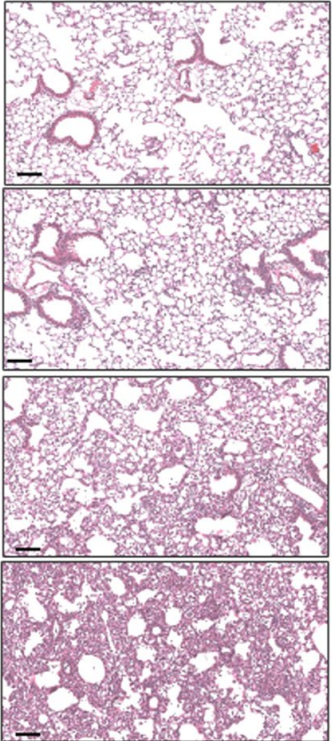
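Four stacked sections of lung tissue stained pink and purple show a lacy network of thin alveolar walls around open air spaces, with airways and vessels cut in cross section. In the upper two sections the alveolar walls are thin and the air spaces wide. In the lower sections the tissue is more crowded with purple nuclei, the walls are thickened and the air spaces narrower, most markedly in the bottom section, where dense cellular areas fill much of the parenchyma.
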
